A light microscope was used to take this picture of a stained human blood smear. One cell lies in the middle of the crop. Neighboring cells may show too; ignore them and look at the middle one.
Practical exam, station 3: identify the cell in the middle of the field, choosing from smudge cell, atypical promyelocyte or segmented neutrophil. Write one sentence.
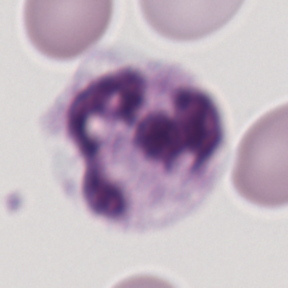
The cell of interest, in the center, is a segmented neutrophil.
